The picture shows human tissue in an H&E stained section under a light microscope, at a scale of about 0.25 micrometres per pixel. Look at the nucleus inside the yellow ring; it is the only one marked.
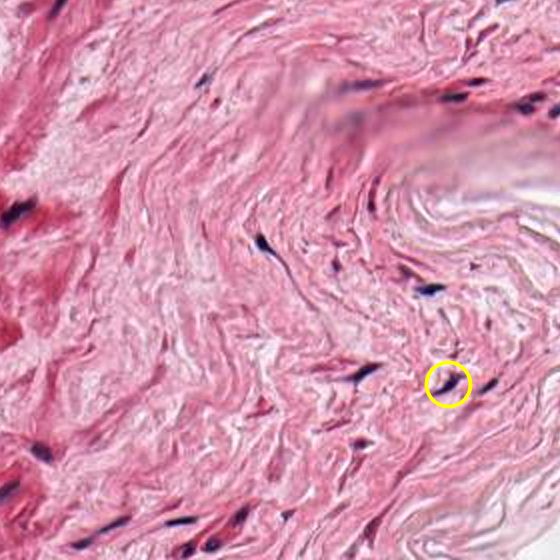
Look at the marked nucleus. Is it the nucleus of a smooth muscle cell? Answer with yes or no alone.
no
